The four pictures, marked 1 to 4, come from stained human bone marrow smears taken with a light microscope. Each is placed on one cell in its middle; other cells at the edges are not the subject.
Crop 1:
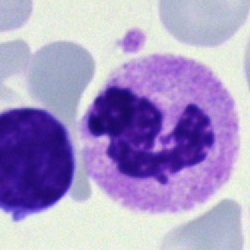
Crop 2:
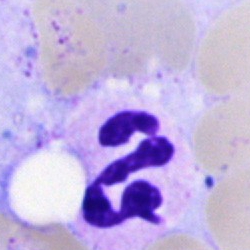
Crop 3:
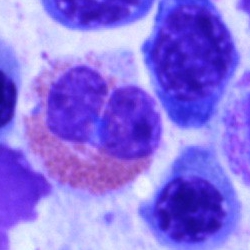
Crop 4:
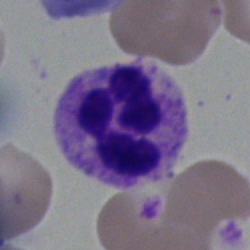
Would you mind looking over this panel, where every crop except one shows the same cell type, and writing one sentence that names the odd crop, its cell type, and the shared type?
The different crop is 3; it is an eosinophil, and the others all show segmented neutrophils.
